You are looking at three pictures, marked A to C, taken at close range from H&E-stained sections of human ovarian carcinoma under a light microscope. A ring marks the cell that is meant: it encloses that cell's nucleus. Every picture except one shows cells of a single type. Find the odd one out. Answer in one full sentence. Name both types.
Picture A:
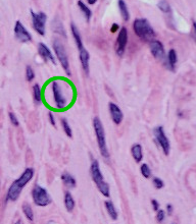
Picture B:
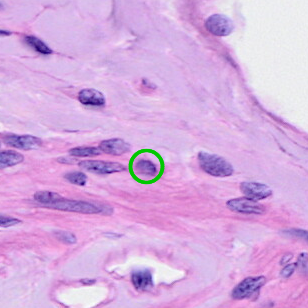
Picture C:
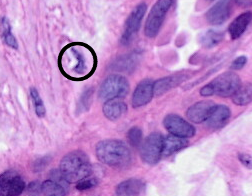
All pictures except C show smooth muscle cells; picture C shows a fibroblast.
